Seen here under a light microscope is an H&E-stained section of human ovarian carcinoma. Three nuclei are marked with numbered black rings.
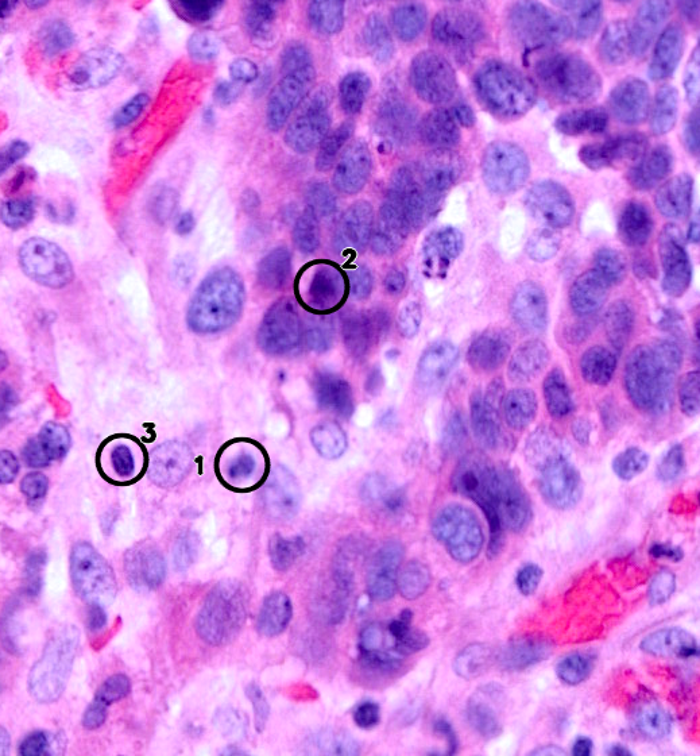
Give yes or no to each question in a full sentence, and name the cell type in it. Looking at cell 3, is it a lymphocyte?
Yes, the cell that has number 3 is a lymphocyte.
